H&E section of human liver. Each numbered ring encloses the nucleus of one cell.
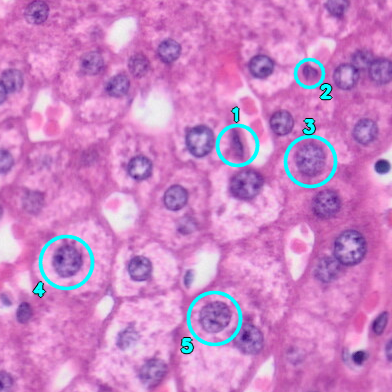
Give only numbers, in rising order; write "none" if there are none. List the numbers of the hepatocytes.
3, 4, 5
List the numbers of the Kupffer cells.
1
